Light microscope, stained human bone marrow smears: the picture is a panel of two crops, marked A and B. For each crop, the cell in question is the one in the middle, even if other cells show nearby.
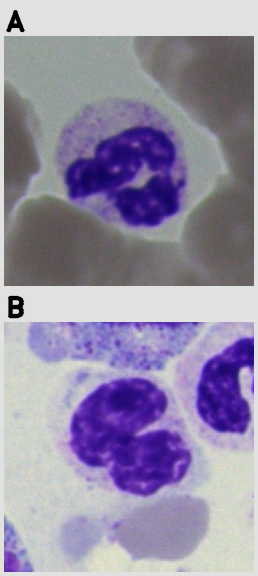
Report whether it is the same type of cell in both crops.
yes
